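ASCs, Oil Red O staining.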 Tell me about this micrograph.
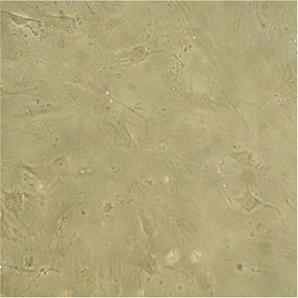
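The cells are elongated and spindle-shaped, with thin processes and pale cytoplasm. No red-stained droplets are seen in any cell.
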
